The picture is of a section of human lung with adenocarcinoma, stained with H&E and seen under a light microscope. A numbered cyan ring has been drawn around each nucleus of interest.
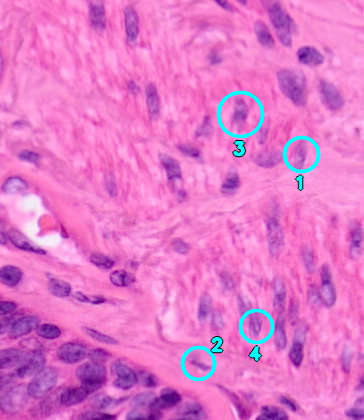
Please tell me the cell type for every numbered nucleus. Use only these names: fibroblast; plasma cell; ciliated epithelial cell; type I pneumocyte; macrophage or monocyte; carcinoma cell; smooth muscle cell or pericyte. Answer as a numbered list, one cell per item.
1. smooth muscle cell or pericyte
2. fibroblast
3. smooth muscle cell or pericyte
4. smooth muscle cell or pericyte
